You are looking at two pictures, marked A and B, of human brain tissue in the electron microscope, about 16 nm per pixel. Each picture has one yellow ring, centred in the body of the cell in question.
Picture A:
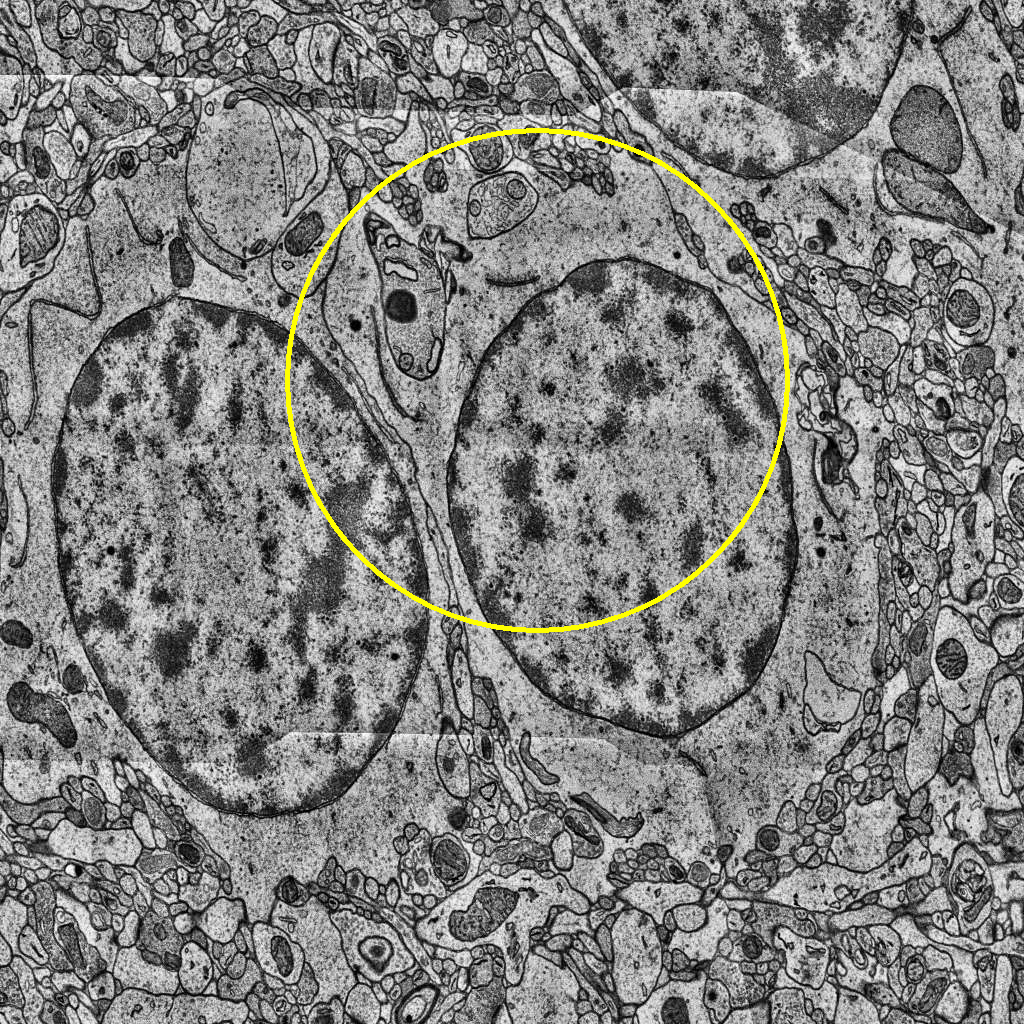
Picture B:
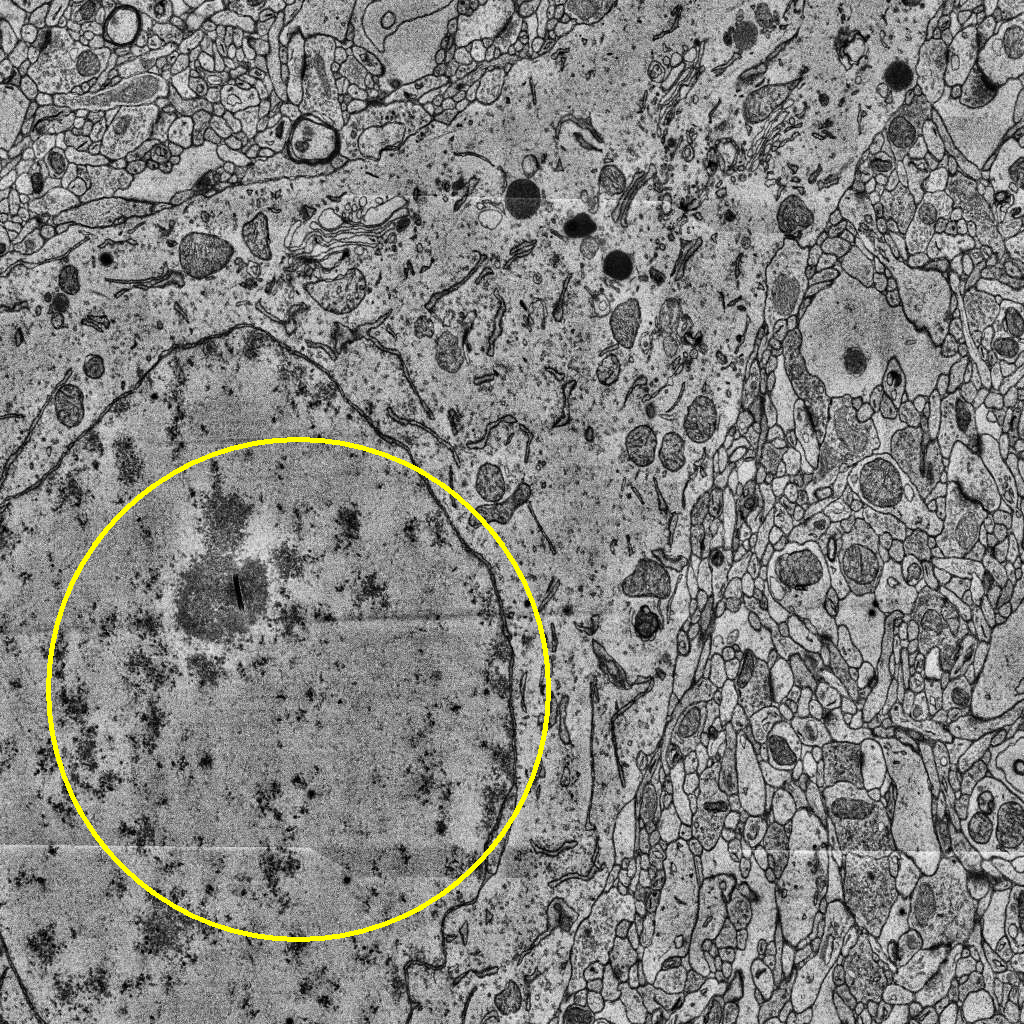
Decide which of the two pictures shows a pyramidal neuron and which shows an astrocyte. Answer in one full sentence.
Picture A shows an astrocyte and picture B shows a pyramidal neuron.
